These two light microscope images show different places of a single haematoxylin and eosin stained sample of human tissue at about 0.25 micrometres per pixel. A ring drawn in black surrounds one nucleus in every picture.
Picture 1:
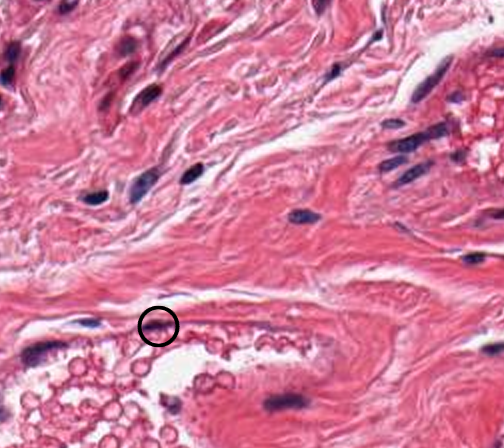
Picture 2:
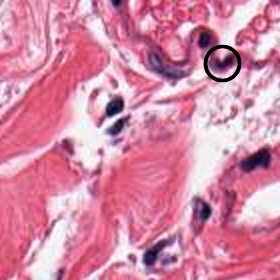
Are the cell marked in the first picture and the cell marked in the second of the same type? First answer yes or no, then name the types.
Yes, both are endothelial cells.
